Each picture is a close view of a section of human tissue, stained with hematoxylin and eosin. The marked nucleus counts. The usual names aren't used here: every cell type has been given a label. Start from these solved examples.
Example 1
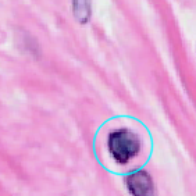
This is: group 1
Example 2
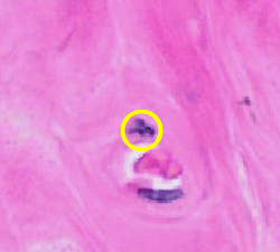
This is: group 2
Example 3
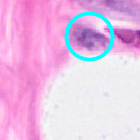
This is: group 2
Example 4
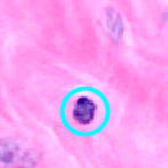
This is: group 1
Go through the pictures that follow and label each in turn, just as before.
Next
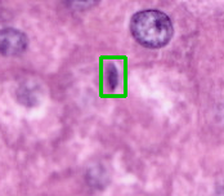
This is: group 2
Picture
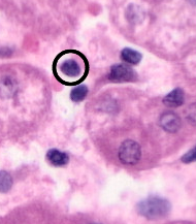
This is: group 1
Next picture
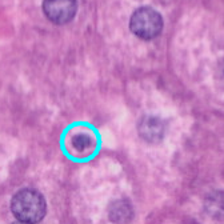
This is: group 1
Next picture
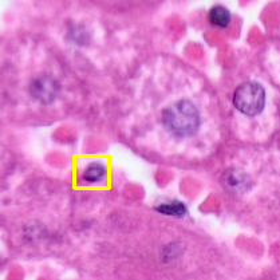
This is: group 1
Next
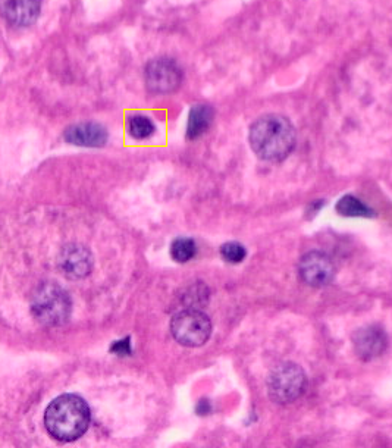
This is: group 1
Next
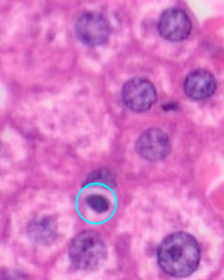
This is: group 1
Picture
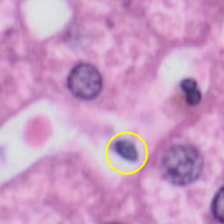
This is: group 1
